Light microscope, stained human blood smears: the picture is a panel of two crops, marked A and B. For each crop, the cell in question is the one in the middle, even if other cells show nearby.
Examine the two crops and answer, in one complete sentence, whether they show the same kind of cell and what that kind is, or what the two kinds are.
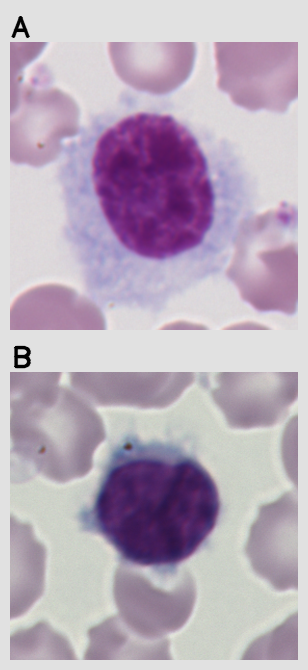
Yes, the cells at the centre of both crops are hairy cells.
